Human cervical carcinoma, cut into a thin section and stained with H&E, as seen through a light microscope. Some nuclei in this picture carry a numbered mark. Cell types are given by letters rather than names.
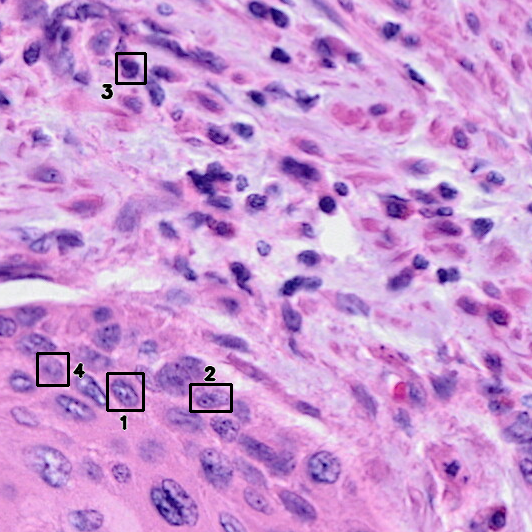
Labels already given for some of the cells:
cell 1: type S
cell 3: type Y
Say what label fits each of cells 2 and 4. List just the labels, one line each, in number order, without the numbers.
type S
type S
